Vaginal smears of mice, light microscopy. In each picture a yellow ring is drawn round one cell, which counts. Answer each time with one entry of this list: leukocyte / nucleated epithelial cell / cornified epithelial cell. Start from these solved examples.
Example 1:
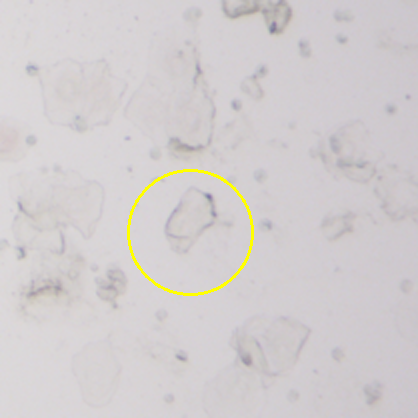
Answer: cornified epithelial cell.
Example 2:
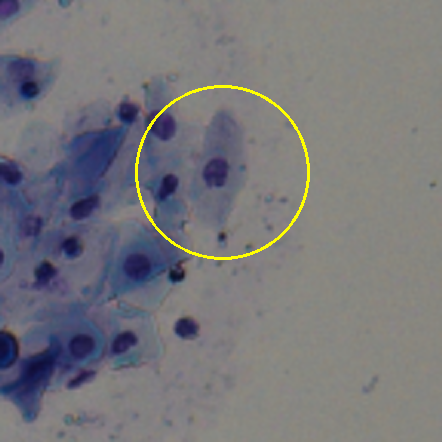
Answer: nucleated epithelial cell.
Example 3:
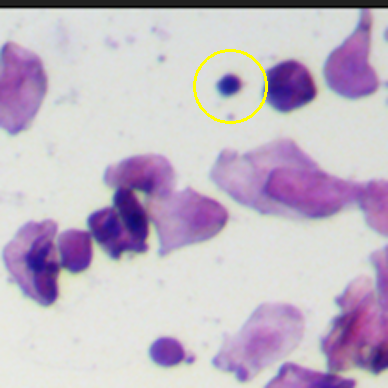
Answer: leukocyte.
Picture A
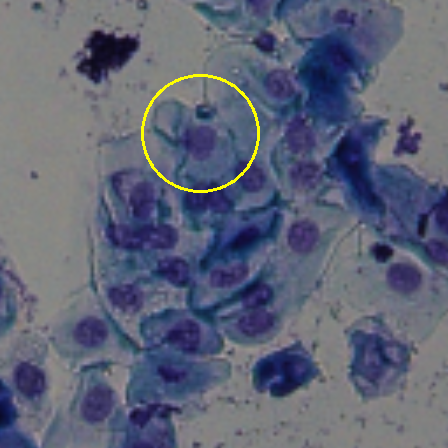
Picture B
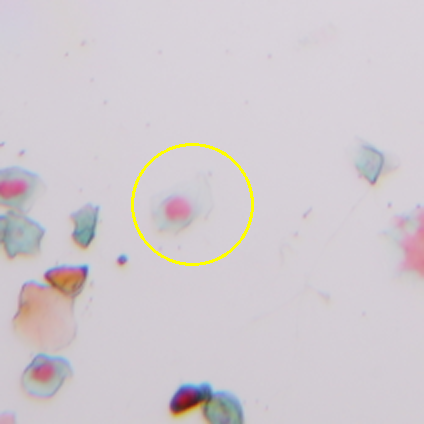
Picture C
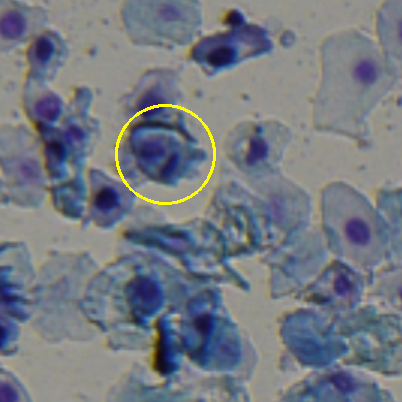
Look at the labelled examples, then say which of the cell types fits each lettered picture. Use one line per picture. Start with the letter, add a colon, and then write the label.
A: nucleated epithelial cell.
B: nucleated epithelial cell.
C: nucleated epithelial cell.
